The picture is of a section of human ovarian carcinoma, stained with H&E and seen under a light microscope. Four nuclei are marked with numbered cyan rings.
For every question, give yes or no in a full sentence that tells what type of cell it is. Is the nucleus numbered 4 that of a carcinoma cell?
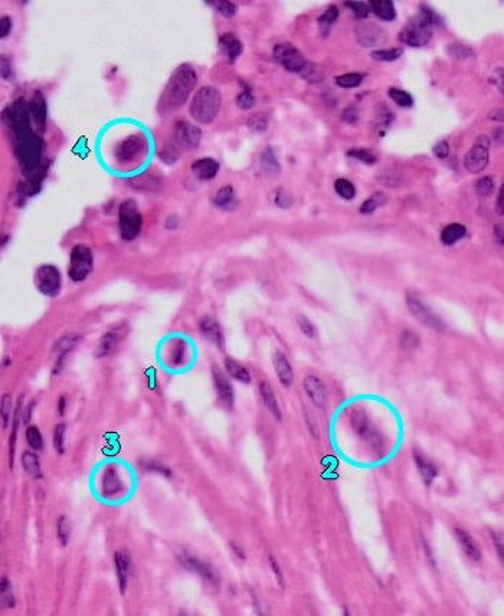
Yes, the cell whose number is 4 is a carcinoma cell.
